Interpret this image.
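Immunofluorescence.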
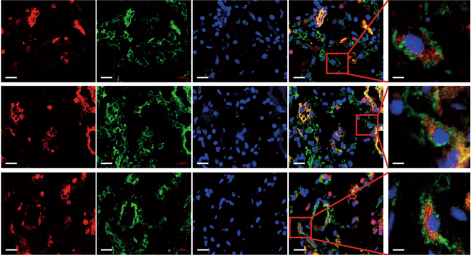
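The red and green signals form irregular patches and rims in the cytoplasm around some of these nuclei rather than filling the whole field. In the enlarged views, single cells show a blue nucleus partly surrounded by granular red and green cytoplasmic signal, with yellow-orange where the two overlap.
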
